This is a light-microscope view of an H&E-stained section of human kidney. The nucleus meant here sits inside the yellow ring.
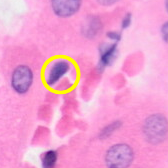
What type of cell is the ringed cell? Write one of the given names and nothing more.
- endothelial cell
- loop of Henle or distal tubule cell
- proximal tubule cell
endothelial cell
